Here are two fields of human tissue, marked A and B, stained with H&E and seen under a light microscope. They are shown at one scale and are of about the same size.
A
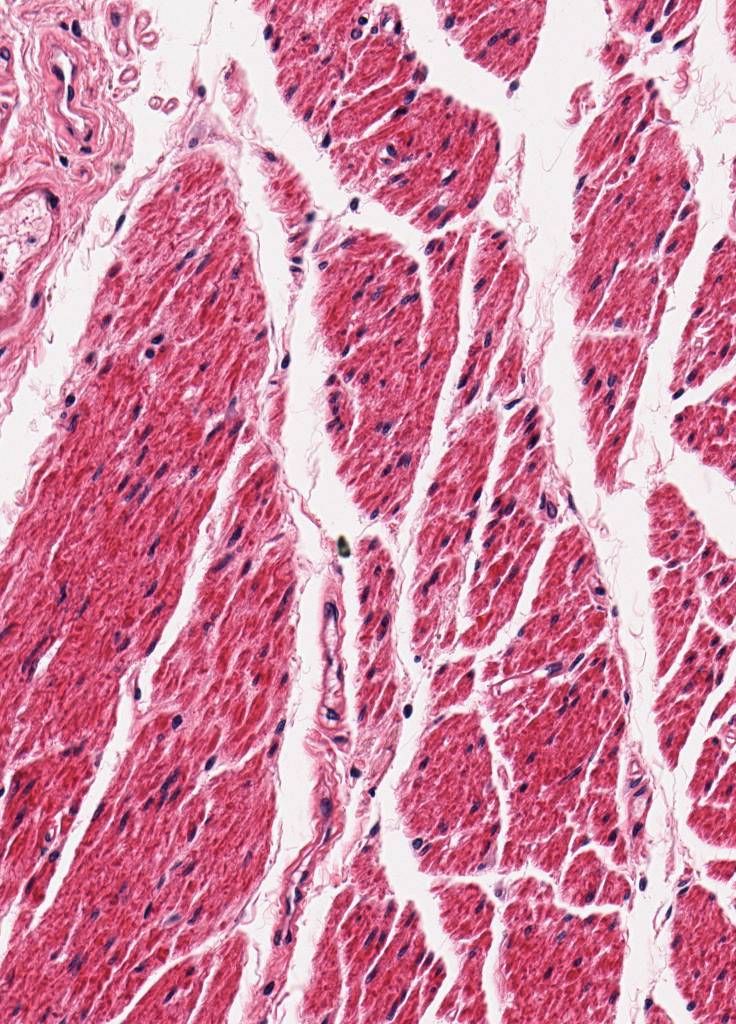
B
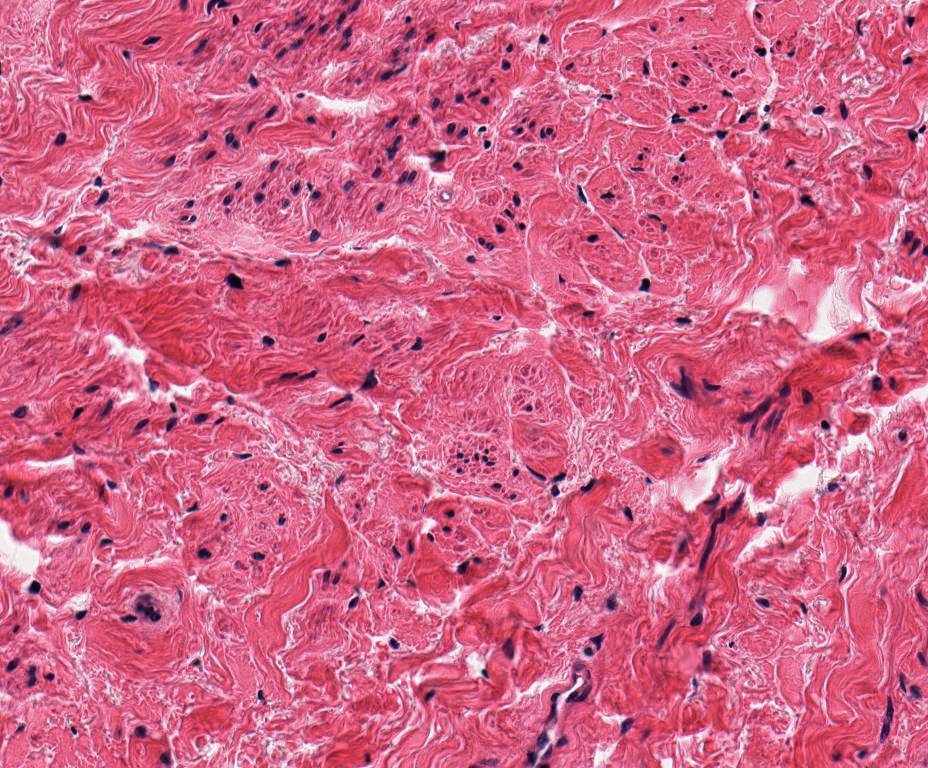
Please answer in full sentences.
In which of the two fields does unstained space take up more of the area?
Picture A has more white space.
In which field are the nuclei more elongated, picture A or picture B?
On the whole the nuclei of picture A are more drawn out than those of picture B.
